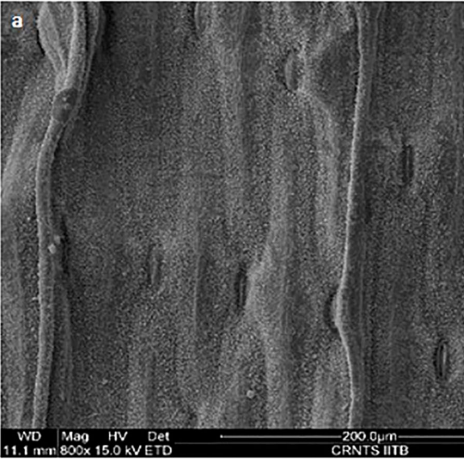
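The epidermal cells are long and narrow, lying side by side in parallel files, and their boundaries show as faint raised lines running lengthwise across the field. Scattered among them are stomata, each a small elongated slit bordered by a pair of narrow lip-like cells. The slits are oriented along the same axis as the cell files. The surface between them has a fine, evenly granular texture. At the left margin a taller raised ridge runs the full height of the field.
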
